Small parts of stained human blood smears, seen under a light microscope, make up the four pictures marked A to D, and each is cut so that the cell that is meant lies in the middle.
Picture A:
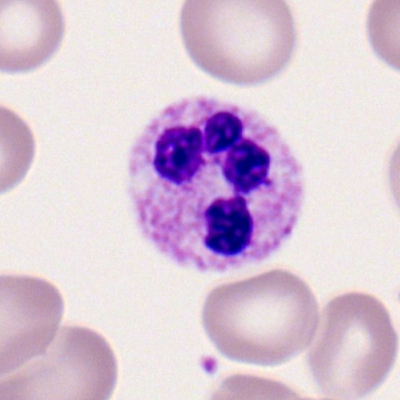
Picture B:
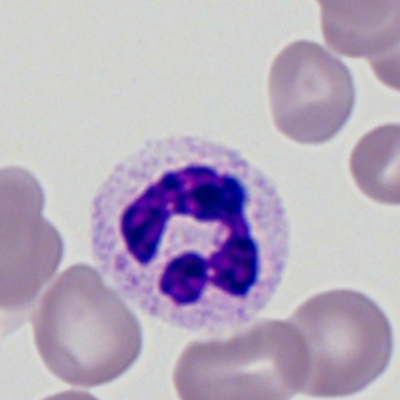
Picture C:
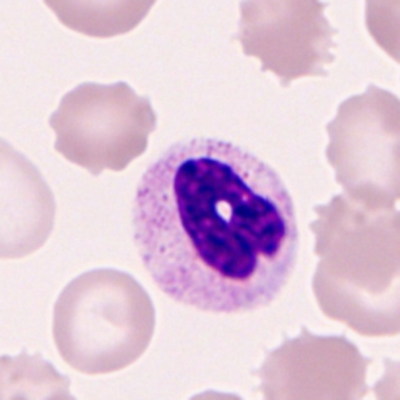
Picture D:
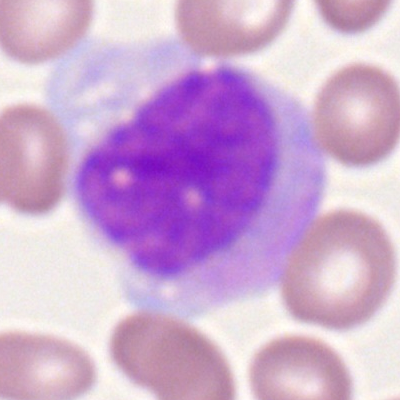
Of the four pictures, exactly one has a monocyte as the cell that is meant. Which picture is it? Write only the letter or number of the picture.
D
